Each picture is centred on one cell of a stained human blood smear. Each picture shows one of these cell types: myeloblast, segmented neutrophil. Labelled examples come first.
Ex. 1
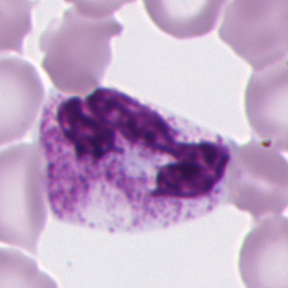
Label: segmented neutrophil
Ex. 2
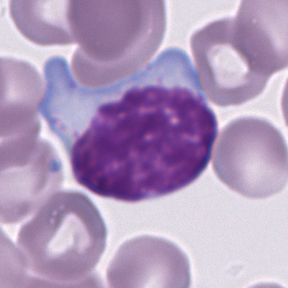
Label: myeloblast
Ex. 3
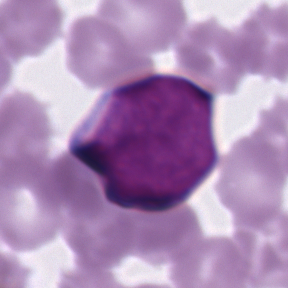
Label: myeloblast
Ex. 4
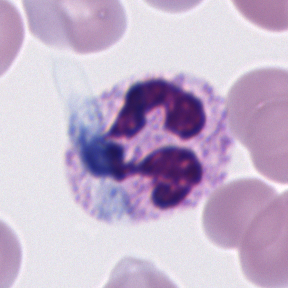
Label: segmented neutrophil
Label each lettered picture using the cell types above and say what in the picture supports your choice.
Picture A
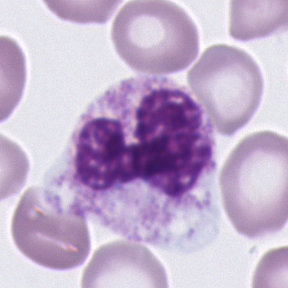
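segmented neutrophil. The nucleus forms two large lobes lying side by side, left and right.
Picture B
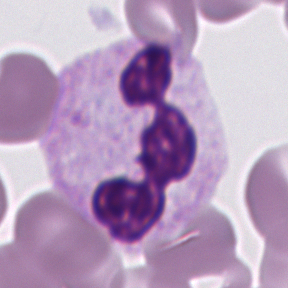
segmented neutrophil. The nucleus is made of three lobes joined one after another in a chain.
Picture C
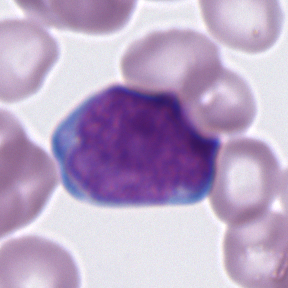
myeloblast. The cytoplasm forms a thin rim that is widest on the left side.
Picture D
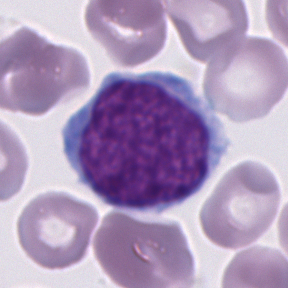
myeloblast. The cytoplasm forms a narrow rim of pale blue around the nucleus.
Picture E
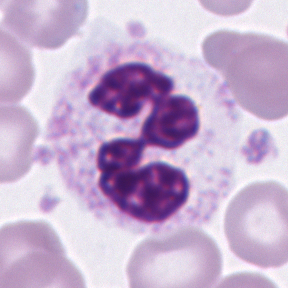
segmented neutrophil. The cytoplasm is plentiful and pale pinkish-lilac.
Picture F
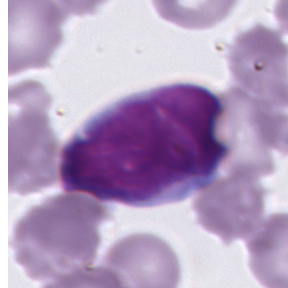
myeloblast. The cytoplasm is only a thin rim, seen best along the lower edge.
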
